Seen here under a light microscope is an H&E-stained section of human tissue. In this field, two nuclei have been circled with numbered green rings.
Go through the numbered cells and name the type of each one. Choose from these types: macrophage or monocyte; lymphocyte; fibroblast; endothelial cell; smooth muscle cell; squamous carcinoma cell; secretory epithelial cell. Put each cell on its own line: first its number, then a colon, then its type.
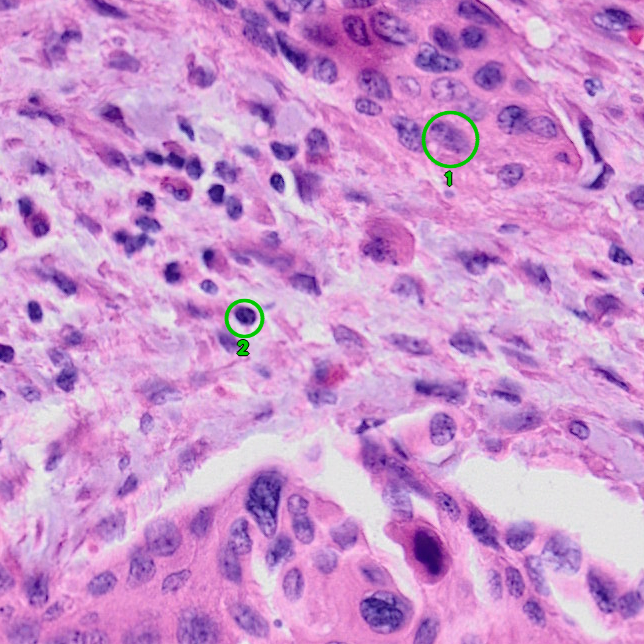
1: squamous carcinoma cell
2: lymphocyte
